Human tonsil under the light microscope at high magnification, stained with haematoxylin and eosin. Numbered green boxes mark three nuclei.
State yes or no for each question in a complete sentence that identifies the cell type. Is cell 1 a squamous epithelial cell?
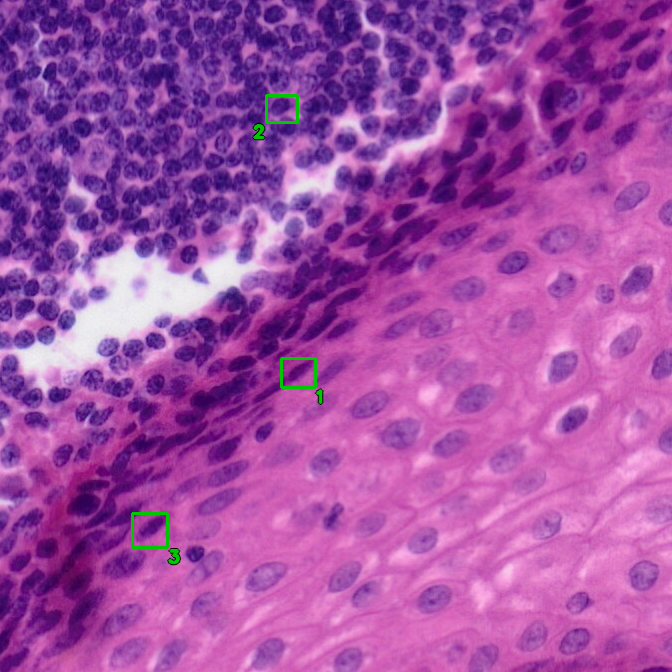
Yes, the cell that goes by number 1 is a squamous epithelial cell.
